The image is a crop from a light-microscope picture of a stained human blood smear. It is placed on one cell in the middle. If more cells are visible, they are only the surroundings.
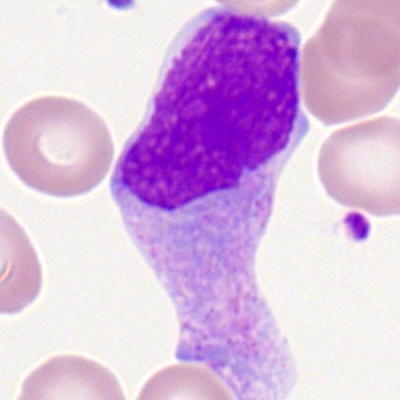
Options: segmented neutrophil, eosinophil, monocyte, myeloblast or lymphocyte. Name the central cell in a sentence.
This particular crop is centered on a monocyte.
